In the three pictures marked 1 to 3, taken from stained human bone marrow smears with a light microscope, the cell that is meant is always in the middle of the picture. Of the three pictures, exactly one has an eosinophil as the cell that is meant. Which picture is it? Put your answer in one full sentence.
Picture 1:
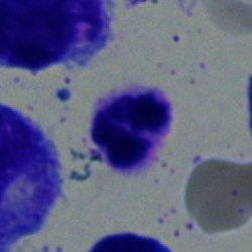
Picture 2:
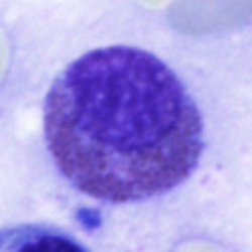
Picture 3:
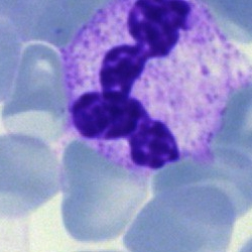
The eosinophil is the one in picture 2.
